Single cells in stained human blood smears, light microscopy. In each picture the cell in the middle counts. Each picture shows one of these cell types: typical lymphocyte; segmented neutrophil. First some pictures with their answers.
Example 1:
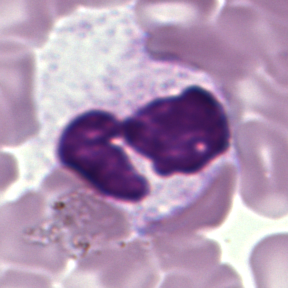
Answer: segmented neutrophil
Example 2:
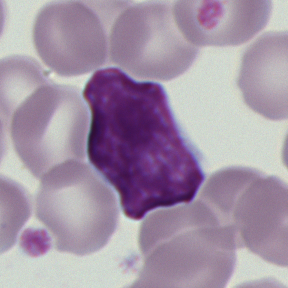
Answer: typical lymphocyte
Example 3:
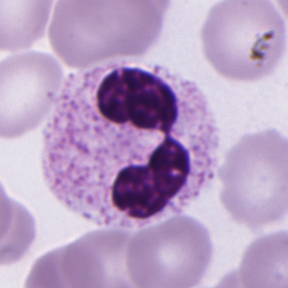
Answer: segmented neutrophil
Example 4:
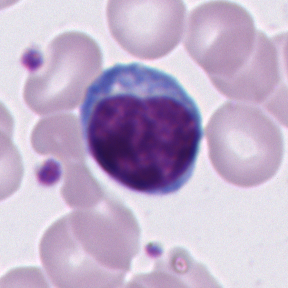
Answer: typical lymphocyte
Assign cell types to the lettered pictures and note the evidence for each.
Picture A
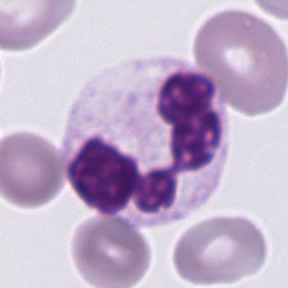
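segmented neutrophil. Evidence: The cytoplasm is plentiful and pale pinkish-lilac.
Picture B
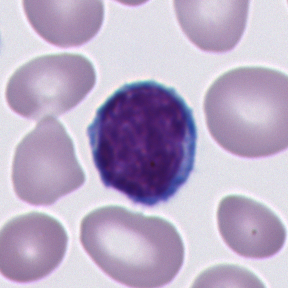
typical lymphocyte. Evidence: The cytoplasm forms only a thin blue rim around the nucleus.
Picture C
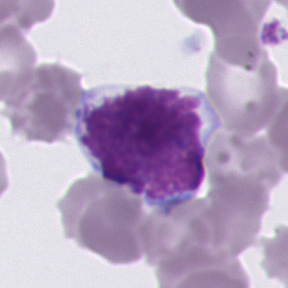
typical lymphocyte. Evidence: The cytoplasm forms only a thin rim around the nucleus.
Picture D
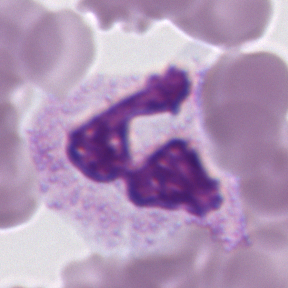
segmented neutrophil. Evidence: The cytoplasm is plentiful and pale lilac-pink.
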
